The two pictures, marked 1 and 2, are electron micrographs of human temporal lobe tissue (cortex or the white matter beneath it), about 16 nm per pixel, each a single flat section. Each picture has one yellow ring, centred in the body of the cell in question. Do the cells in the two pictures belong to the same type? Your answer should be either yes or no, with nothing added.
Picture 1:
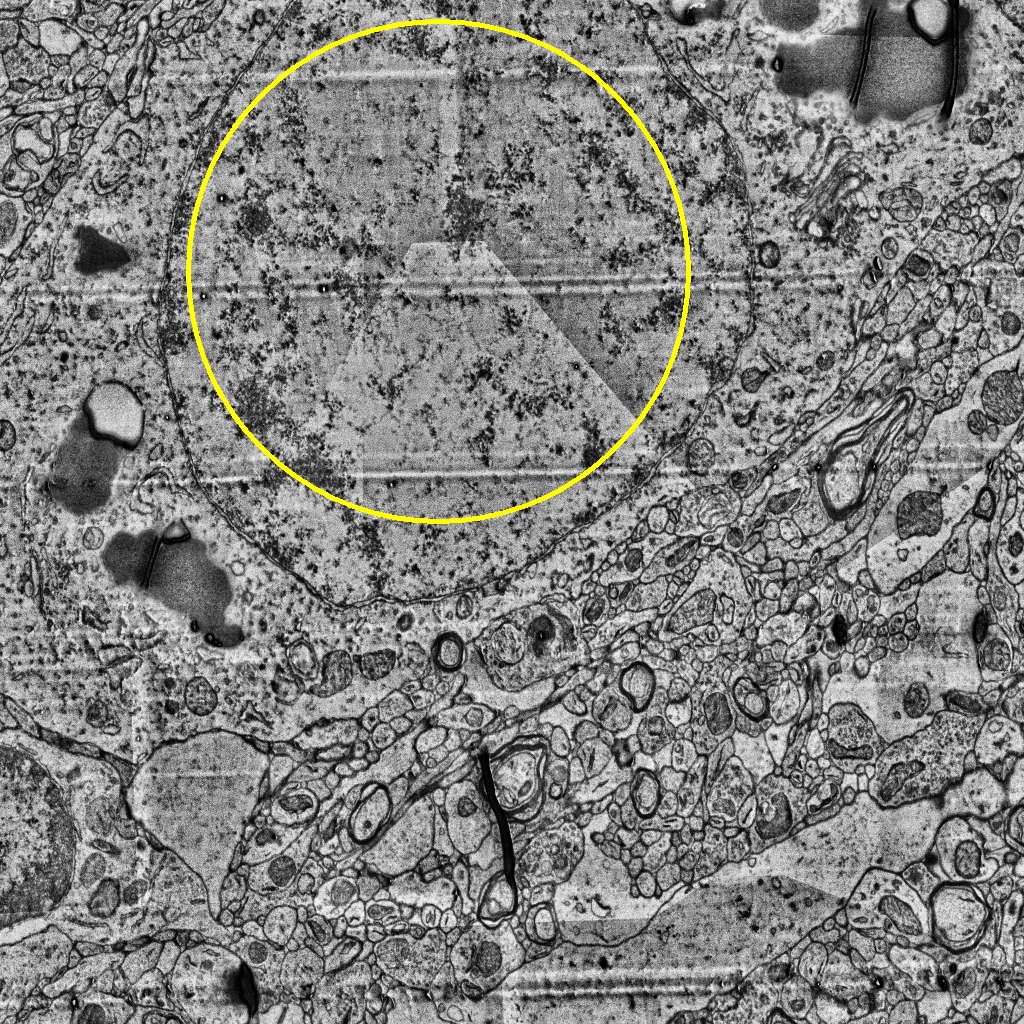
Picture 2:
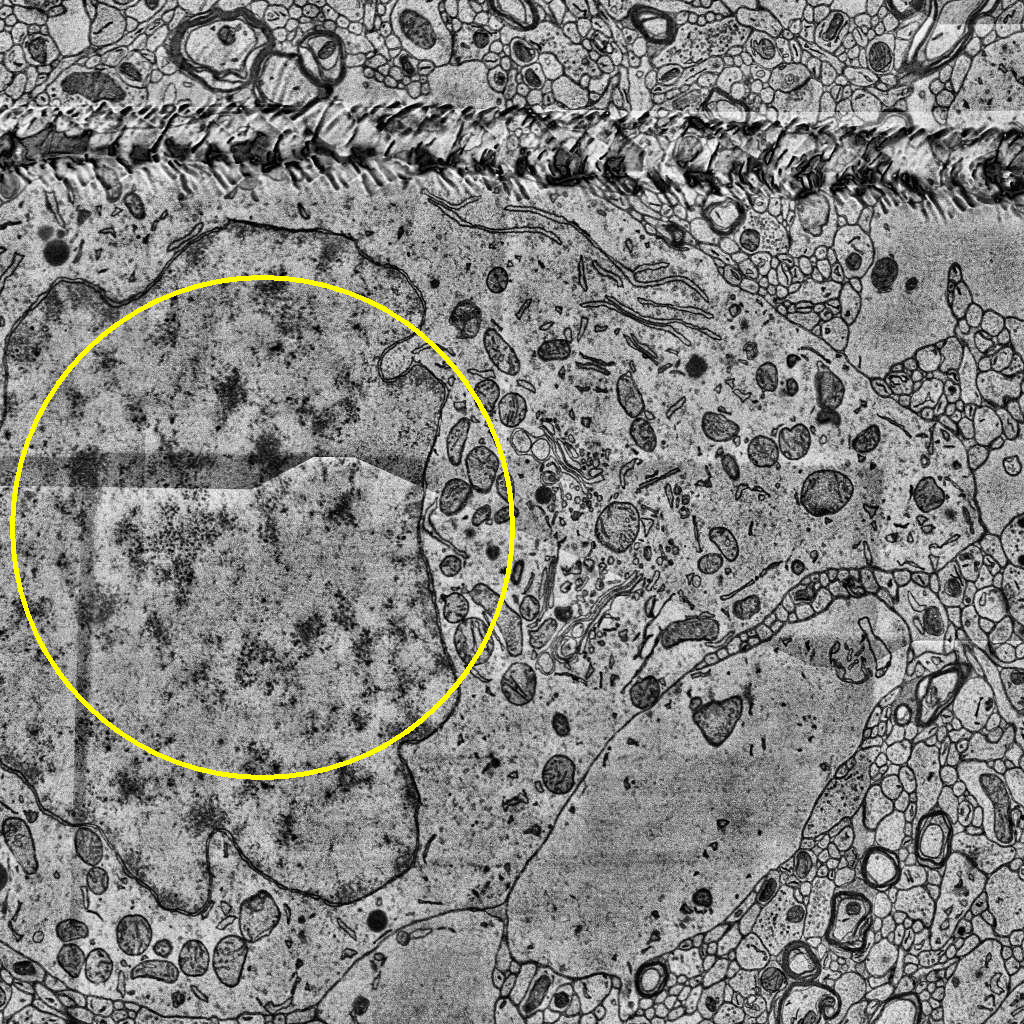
yes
